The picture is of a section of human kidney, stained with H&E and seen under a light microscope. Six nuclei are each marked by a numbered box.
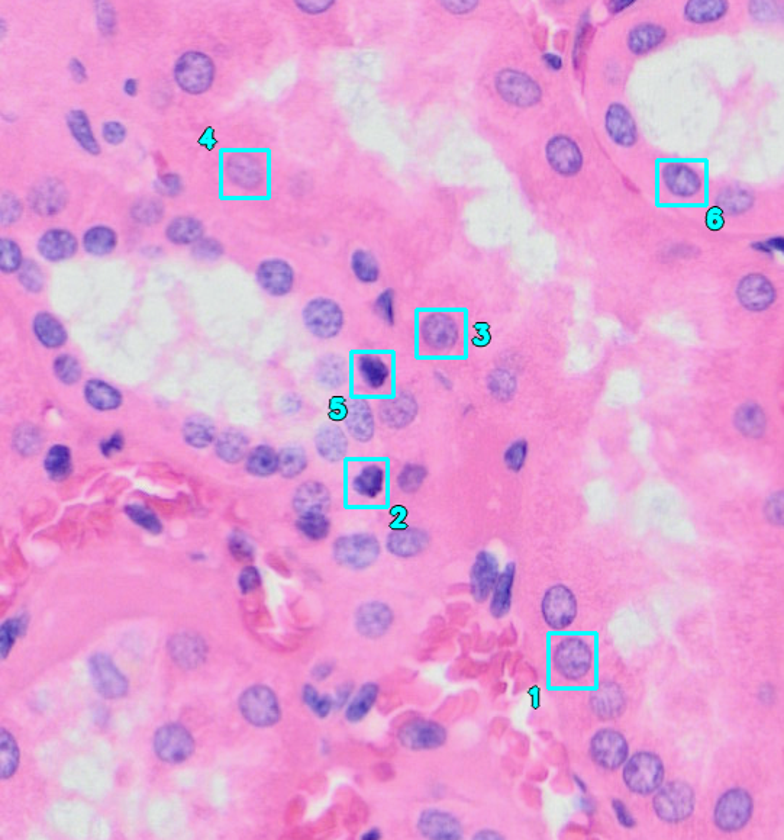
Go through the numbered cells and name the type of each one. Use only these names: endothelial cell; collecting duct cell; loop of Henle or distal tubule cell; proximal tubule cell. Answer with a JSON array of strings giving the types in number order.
["proximal tubule cell", "loop of Henle or distal tubule cell", "proximal tubule cell", "proximal tubule cell", "loop of Henle or distal tubule cell", "loop of Henle or distal tubule cell"]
